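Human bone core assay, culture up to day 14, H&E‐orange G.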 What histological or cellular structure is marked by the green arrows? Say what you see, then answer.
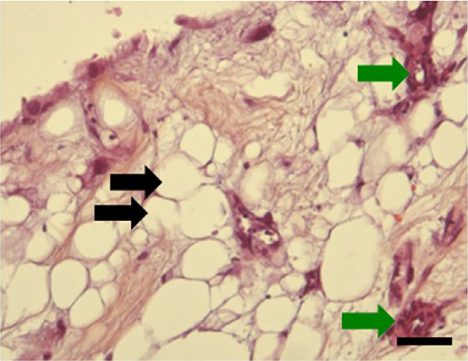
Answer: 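The arrows point at small clusters of dark purple cells between the fat spaces.
Hence: vascular components.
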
